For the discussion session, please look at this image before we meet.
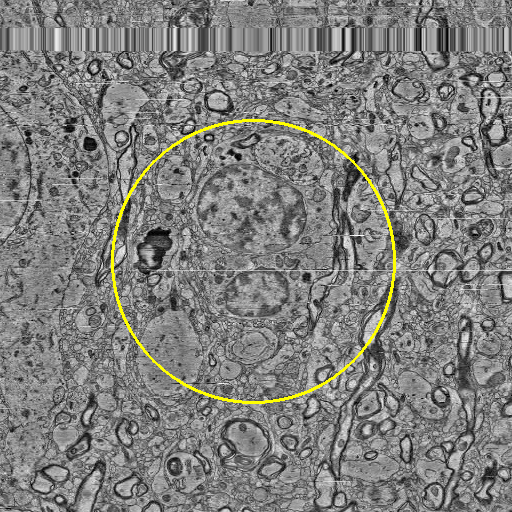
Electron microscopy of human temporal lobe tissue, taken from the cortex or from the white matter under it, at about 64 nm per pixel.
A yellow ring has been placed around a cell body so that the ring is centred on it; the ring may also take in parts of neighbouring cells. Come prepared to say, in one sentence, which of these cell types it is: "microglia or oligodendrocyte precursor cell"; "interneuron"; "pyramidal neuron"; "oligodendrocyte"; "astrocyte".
The cell centred in the ring is an oligodendrocyte.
